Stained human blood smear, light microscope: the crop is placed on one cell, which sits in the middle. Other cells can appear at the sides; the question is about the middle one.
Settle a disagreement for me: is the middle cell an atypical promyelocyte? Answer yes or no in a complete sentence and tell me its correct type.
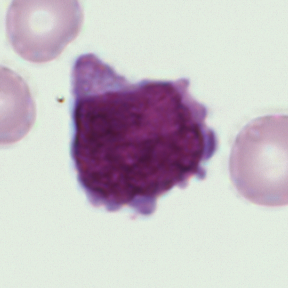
Yes, what sits in the middle of the crop is an atypical promyelocyte.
